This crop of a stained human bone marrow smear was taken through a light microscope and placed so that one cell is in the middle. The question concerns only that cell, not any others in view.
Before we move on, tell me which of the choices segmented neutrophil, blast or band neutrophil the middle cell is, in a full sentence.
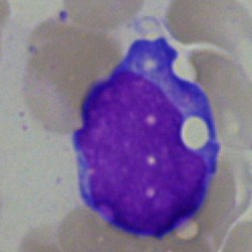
At the crop's centre, the cell is a blast.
